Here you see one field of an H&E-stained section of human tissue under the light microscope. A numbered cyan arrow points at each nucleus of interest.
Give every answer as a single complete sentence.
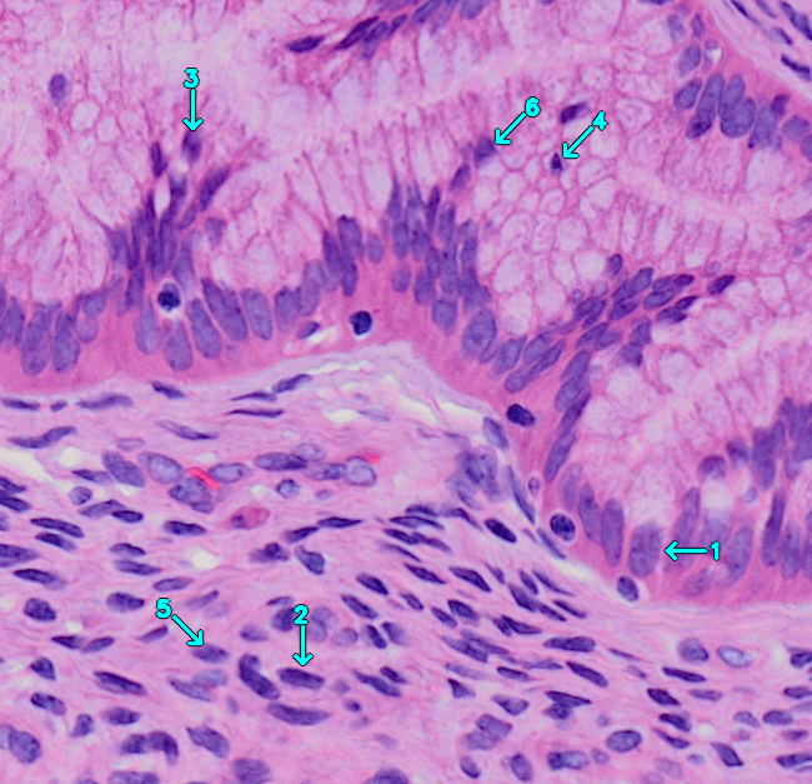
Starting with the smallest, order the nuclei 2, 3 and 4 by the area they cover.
By area, going up from the smallest, they rank 4, 3, 2.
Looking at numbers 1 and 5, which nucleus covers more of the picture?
The larger nucleus is 1, at roughly 3 times the area of 5.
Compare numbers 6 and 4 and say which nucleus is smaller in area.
Nucleus 4 is the smaller one; nucleus 6 covers about 2 times its area.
